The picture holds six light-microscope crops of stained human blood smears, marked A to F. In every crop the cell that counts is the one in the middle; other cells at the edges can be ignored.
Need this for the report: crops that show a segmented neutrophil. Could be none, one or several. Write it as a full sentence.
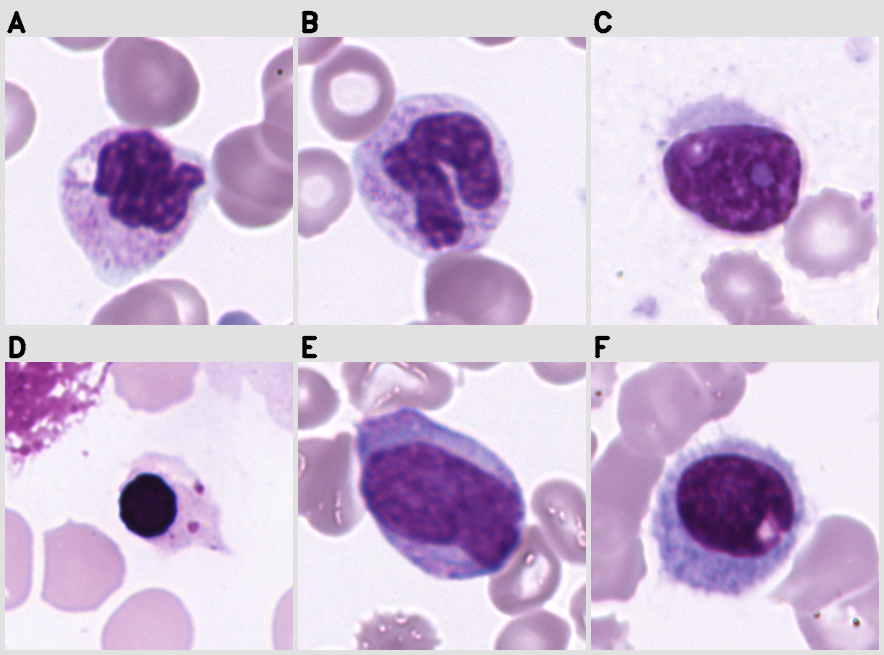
The centrally placed cells in crops A and B are segmented neutrophils.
